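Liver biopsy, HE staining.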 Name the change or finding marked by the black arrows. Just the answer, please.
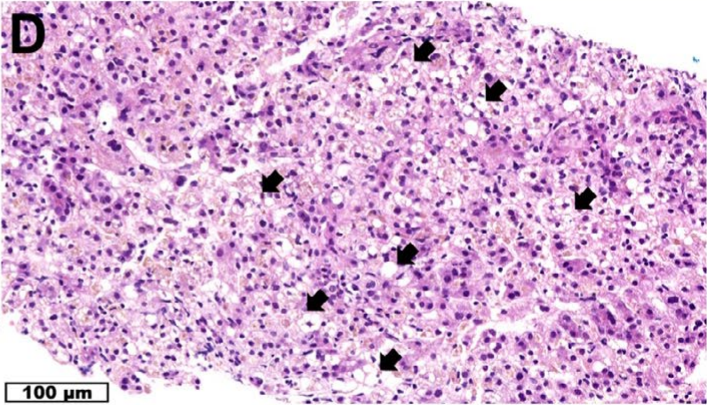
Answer: microvesicular steatosis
